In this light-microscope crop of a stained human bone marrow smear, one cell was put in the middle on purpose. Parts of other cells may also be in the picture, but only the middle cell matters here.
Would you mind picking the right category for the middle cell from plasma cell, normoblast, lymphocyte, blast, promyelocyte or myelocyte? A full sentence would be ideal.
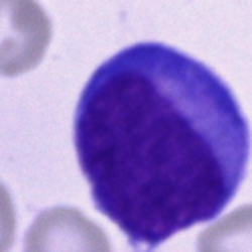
For this crop, the central cell is a blast.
